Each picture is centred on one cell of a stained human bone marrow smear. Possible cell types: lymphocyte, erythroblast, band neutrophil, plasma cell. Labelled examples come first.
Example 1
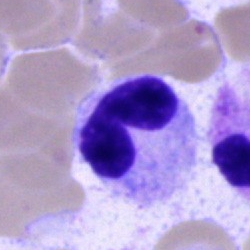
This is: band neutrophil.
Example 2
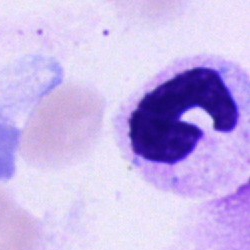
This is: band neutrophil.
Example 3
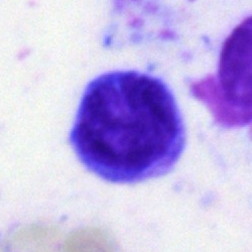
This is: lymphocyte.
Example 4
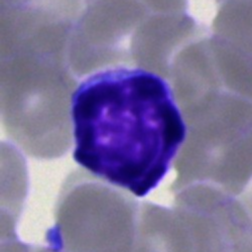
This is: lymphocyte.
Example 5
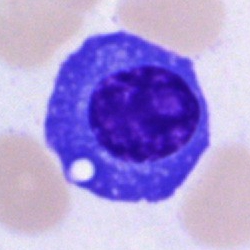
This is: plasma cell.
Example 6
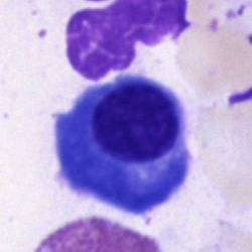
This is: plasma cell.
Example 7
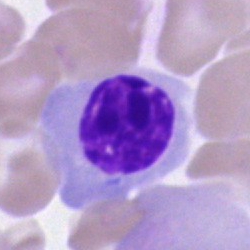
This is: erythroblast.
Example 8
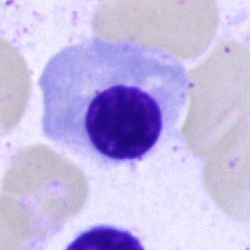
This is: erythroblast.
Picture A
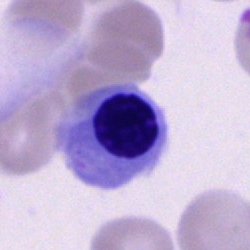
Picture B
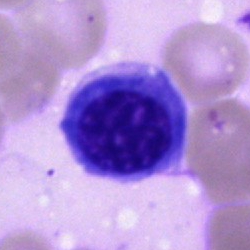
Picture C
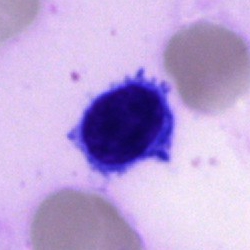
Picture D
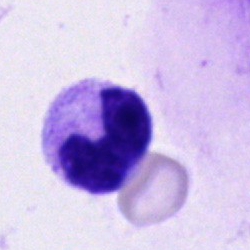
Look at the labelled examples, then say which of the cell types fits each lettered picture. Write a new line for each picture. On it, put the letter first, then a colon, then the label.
A: erythroblast.
B: erythroblast.
C: lymphocyte.
D: band neutrophil.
